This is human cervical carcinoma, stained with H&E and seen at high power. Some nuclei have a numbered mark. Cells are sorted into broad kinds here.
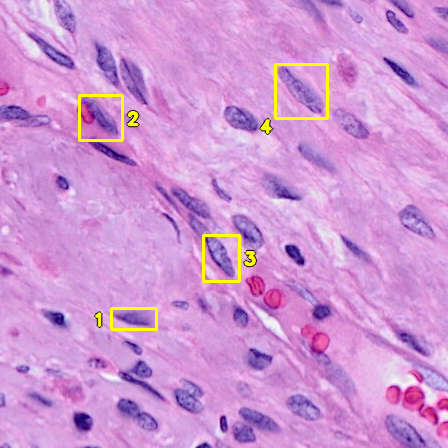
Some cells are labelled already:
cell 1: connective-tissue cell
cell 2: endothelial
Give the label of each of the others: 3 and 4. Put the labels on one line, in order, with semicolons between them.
endothelial; connective-tissue cell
